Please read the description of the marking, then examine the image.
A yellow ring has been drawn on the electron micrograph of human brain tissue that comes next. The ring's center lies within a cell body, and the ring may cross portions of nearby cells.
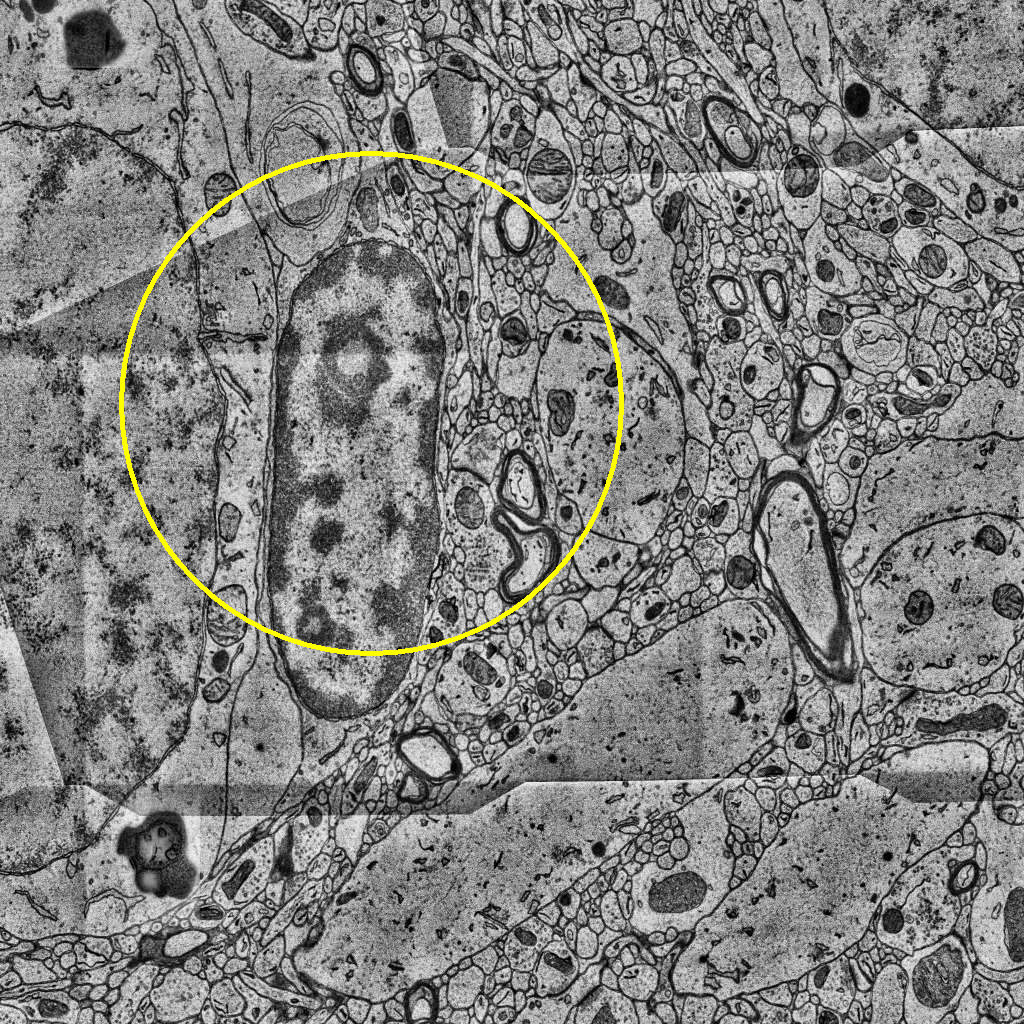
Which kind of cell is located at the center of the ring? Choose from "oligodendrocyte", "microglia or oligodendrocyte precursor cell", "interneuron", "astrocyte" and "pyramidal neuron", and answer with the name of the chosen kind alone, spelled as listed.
microglia or oligodendrocyte precursor cell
